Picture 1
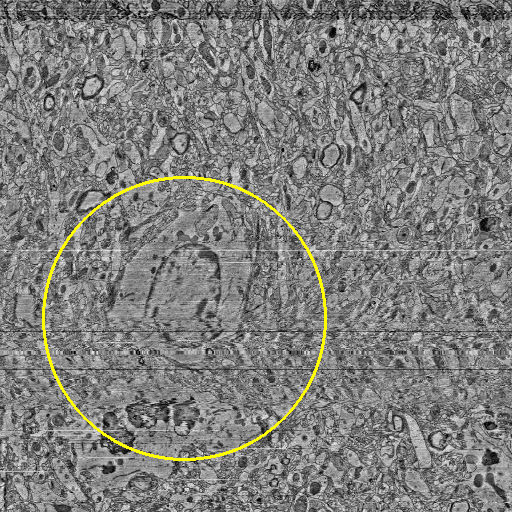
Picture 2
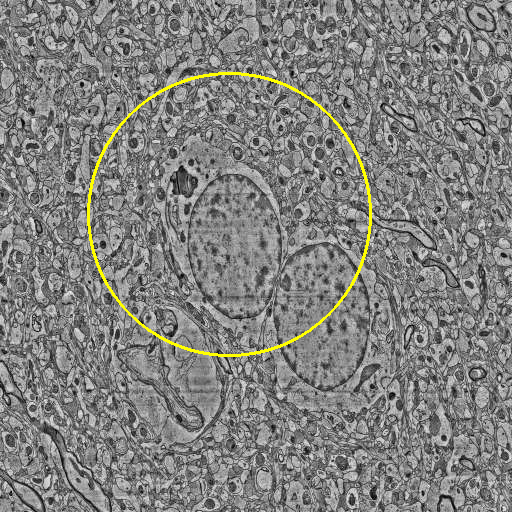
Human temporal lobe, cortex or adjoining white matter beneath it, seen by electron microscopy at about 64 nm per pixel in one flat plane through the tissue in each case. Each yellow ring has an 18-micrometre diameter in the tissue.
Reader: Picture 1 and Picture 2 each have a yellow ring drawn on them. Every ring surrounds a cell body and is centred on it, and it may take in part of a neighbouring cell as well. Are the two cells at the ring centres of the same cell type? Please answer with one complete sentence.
Yes, both cells are of the same cell type.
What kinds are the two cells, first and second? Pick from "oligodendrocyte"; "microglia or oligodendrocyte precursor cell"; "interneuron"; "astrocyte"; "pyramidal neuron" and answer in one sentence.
Both cells are the same kind, each one being an astrocyte.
